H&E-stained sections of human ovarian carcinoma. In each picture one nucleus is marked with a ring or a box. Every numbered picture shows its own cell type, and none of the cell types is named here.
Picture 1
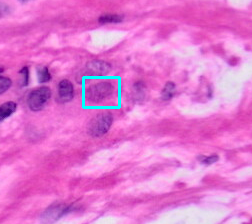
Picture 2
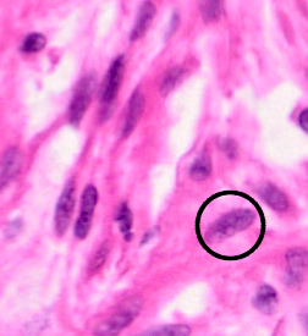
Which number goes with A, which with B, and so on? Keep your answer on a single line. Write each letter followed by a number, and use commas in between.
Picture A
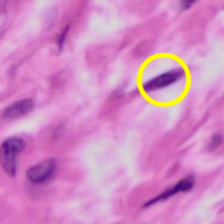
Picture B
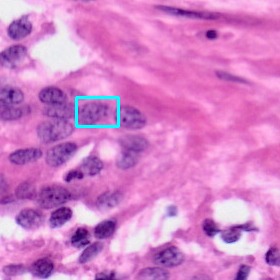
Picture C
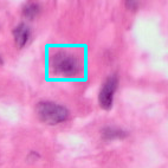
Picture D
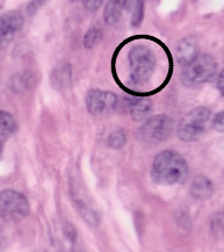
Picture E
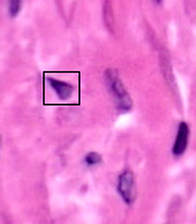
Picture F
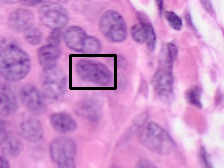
A 2, B 1, C 2, D 1, E 2, F 1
